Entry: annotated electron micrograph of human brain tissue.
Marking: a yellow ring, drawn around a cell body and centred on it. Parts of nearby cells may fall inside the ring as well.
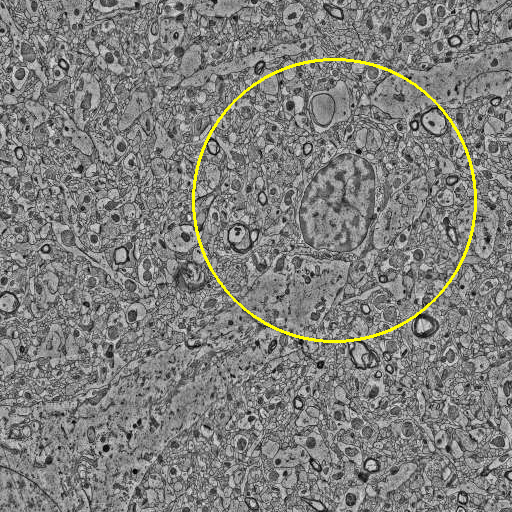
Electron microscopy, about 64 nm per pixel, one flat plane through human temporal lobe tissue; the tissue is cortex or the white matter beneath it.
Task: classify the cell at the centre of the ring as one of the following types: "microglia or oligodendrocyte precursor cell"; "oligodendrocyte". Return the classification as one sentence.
The marked cell is classified as a microglial cell or oligodendrocyte precursor cell.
